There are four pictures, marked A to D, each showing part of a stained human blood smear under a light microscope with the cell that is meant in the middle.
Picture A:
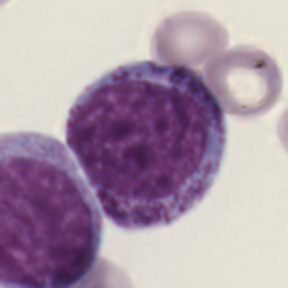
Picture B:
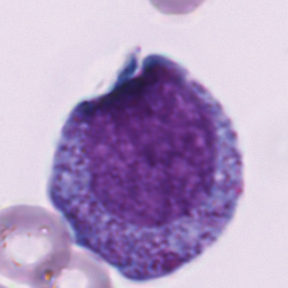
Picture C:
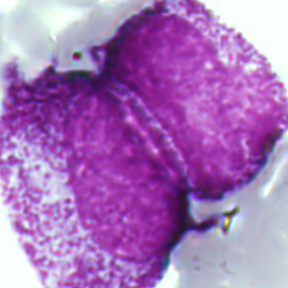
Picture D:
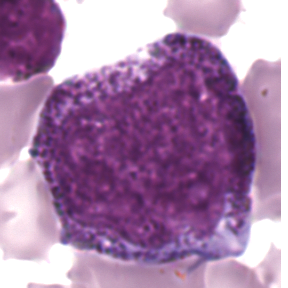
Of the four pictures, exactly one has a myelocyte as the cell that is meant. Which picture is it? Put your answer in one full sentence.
Picture C shows the myelocyte.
